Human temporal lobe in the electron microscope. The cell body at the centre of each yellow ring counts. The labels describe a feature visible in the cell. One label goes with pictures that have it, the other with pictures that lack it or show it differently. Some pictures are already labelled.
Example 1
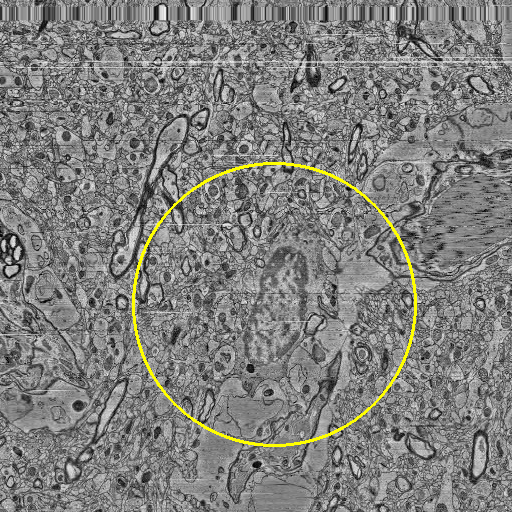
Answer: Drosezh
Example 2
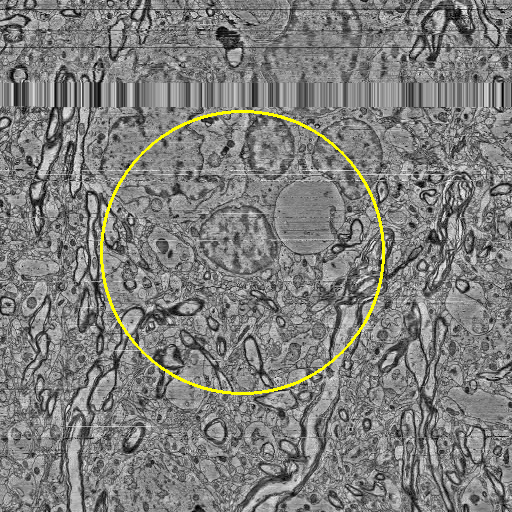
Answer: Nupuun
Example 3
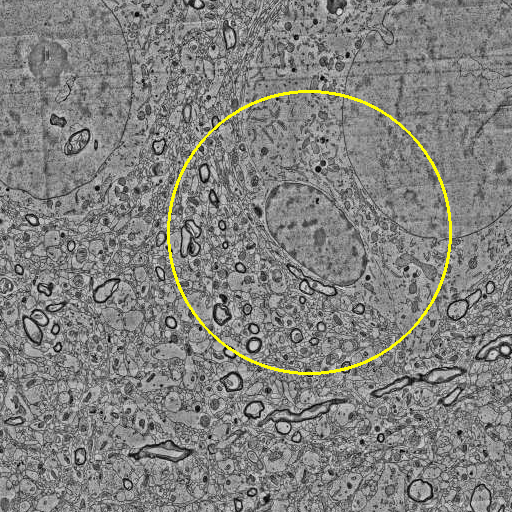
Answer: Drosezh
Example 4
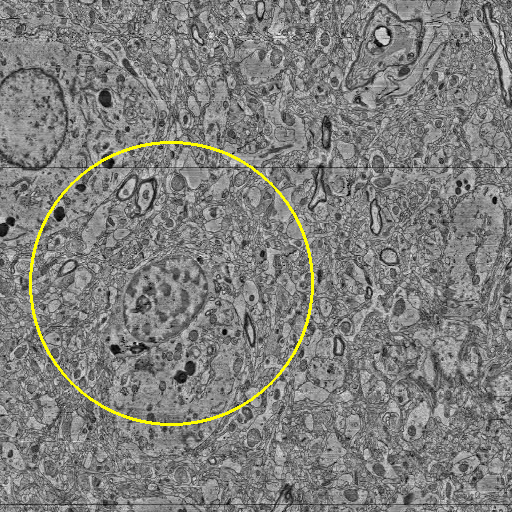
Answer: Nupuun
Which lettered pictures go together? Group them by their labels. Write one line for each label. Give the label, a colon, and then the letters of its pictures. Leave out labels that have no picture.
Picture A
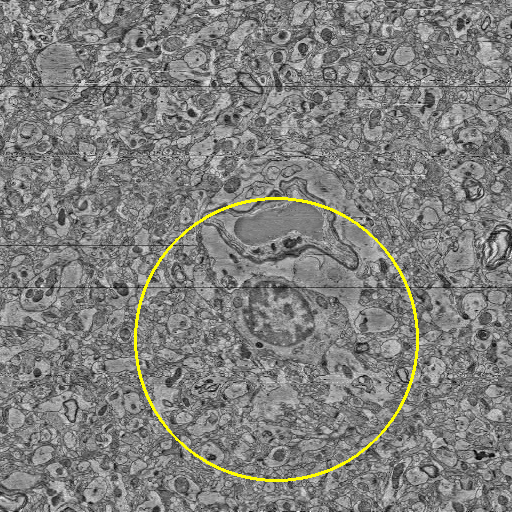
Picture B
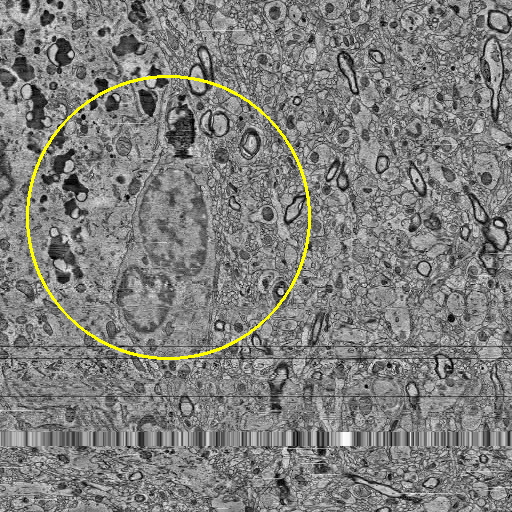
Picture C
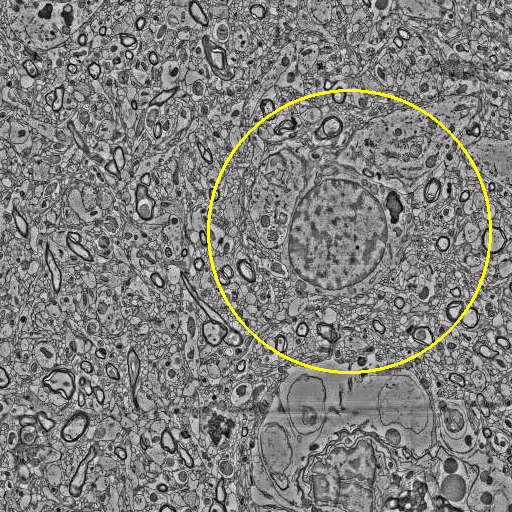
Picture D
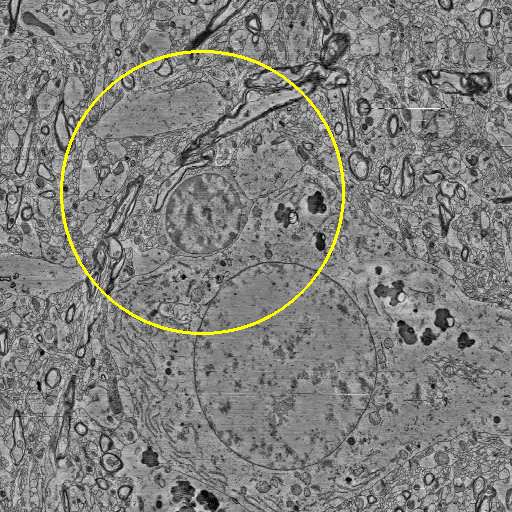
Drosezh: B
Nupuun: A, C, D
